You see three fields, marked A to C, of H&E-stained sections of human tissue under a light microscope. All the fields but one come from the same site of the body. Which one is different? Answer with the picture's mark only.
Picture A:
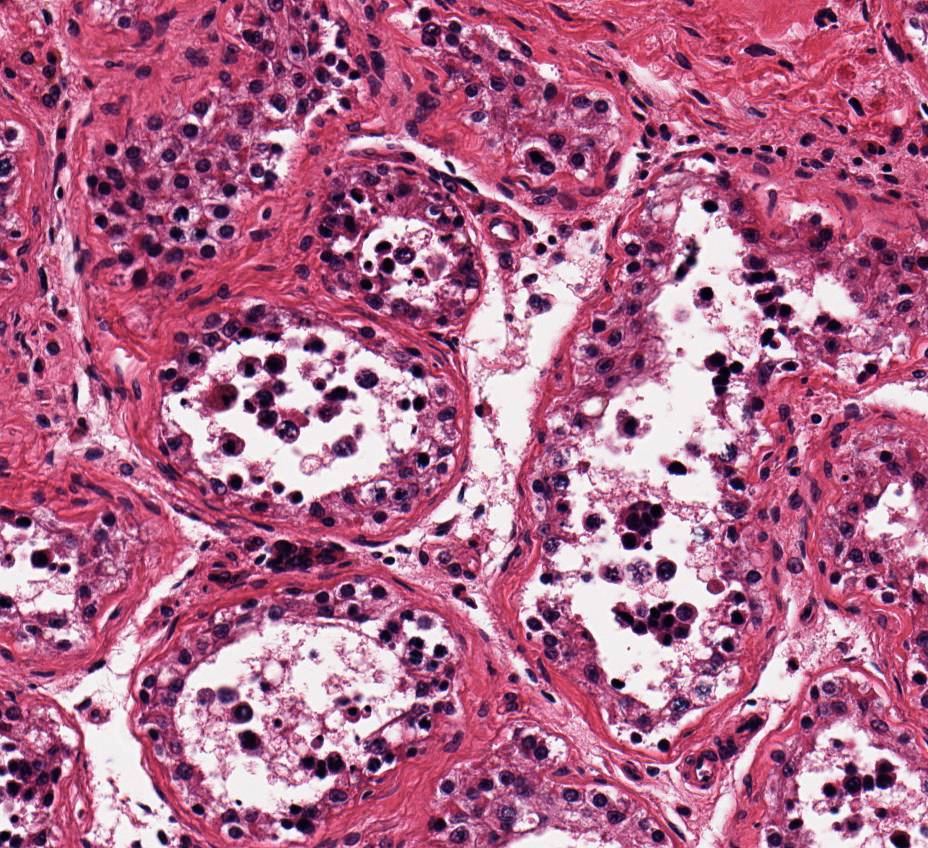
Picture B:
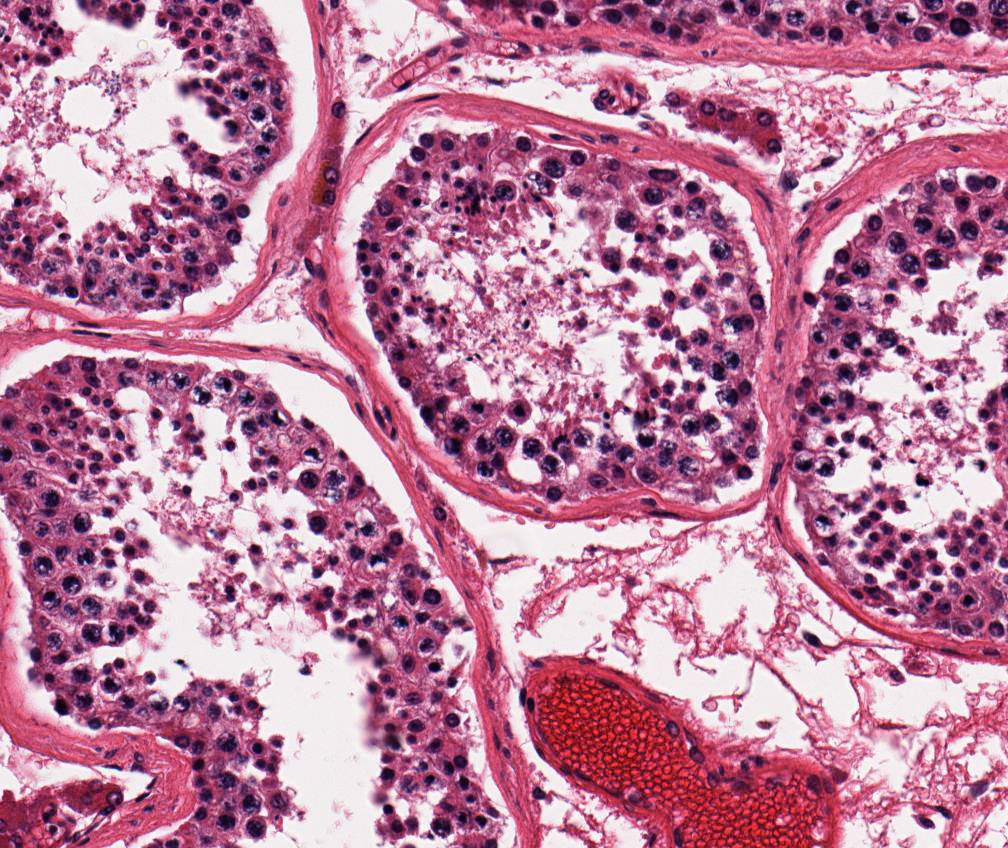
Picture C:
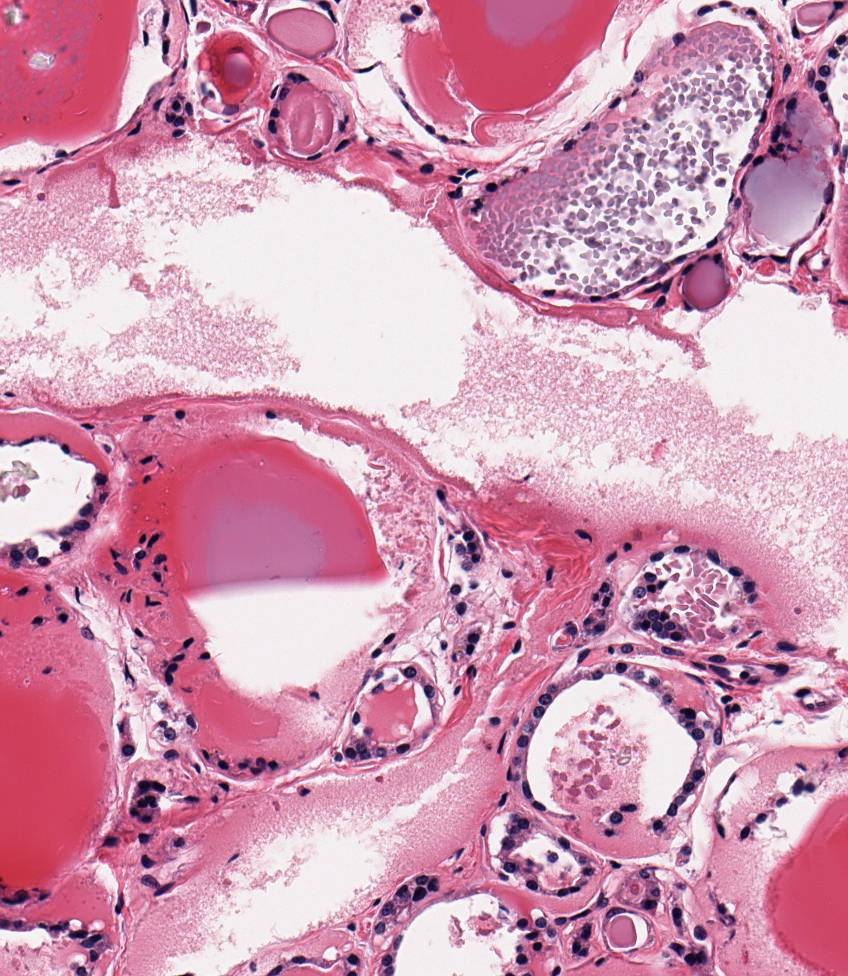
C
